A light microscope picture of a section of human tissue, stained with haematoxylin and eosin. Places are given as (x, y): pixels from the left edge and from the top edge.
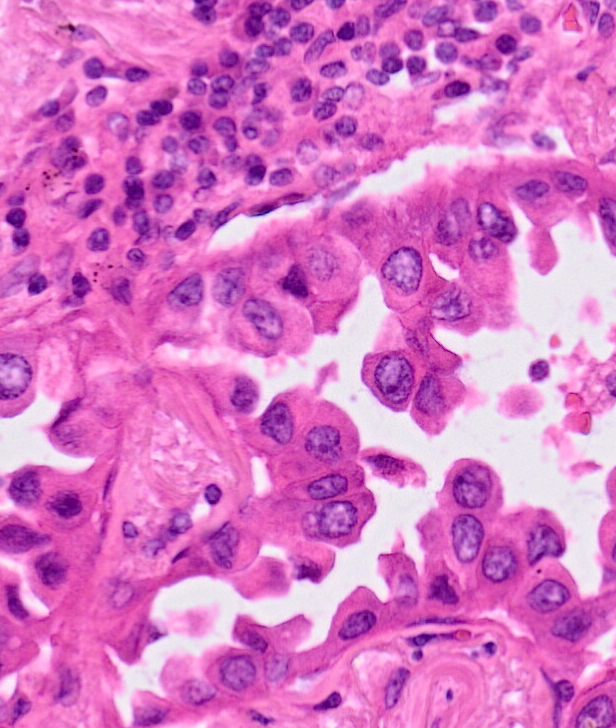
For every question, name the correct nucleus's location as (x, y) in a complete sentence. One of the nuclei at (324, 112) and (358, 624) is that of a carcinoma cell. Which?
The nucleus that sits at (358, 624) is the nucleus of a carcinoma cell.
